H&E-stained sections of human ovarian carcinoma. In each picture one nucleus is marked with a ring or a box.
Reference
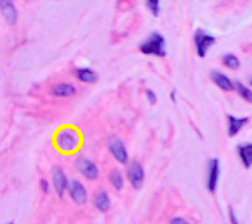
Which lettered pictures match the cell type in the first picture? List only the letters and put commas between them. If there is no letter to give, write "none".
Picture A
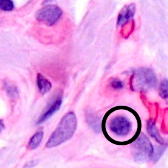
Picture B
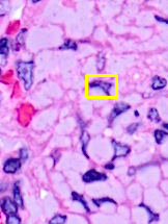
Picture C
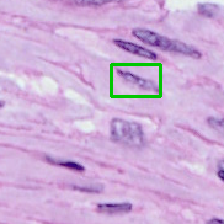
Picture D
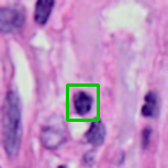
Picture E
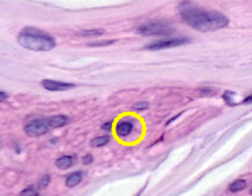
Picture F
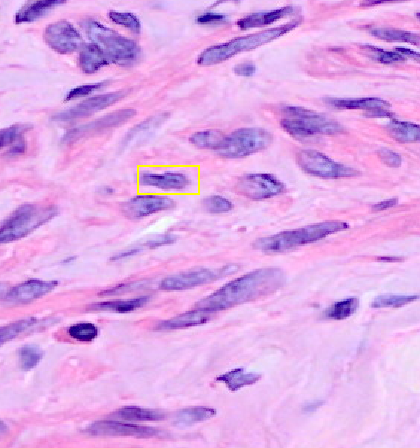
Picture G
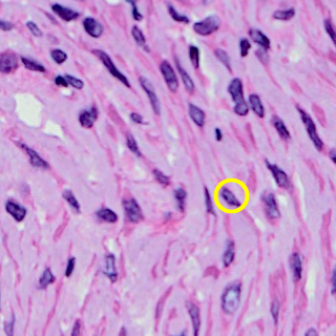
E, F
